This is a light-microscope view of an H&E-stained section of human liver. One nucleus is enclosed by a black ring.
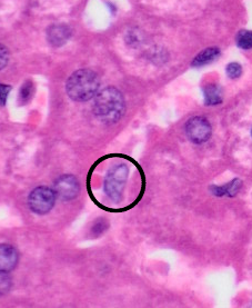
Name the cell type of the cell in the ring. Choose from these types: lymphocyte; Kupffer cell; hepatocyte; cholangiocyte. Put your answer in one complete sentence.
In this section of tissue, the cell in the ring is a Kupffer cell.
